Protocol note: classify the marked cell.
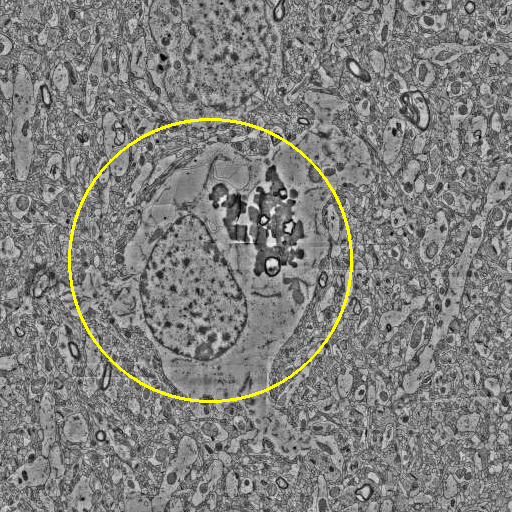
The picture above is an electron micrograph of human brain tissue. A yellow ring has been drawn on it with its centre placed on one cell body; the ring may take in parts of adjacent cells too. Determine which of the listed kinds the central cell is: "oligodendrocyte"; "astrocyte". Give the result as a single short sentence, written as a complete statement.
The central cell is an astrocyte.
